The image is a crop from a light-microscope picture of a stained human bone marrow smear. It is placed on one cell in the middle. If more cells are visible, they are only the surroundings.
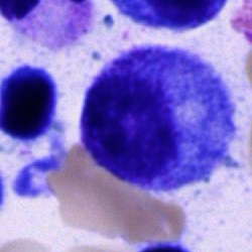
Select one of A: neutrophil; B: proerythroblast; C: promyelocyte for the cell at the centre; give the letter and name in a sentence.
That the central cell is a promyelocyte makes option C correct.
